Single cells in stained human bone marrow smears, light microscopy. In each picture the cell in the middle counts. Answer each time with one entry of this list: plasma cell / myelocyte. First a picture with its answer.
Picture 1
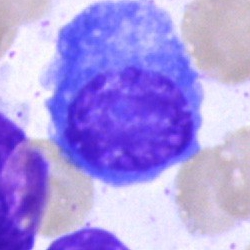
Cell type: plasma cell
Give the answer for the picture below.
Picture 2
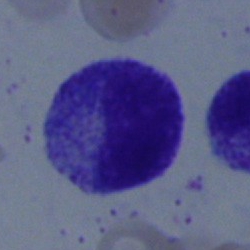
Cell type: myelocyte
